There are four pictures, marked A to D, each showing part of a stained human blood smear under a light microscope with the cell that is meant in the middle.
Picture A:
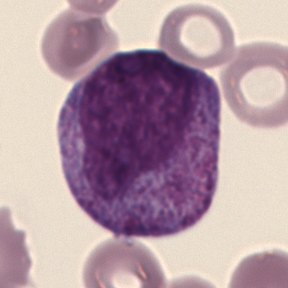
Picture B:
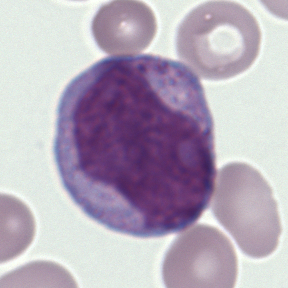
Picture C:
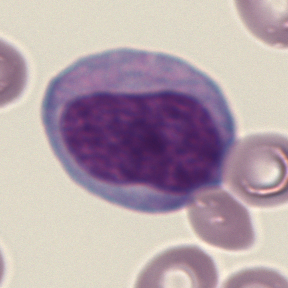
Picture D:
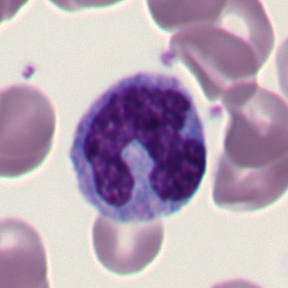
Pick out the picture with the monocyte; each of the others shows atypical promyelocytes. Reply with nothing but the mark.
D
